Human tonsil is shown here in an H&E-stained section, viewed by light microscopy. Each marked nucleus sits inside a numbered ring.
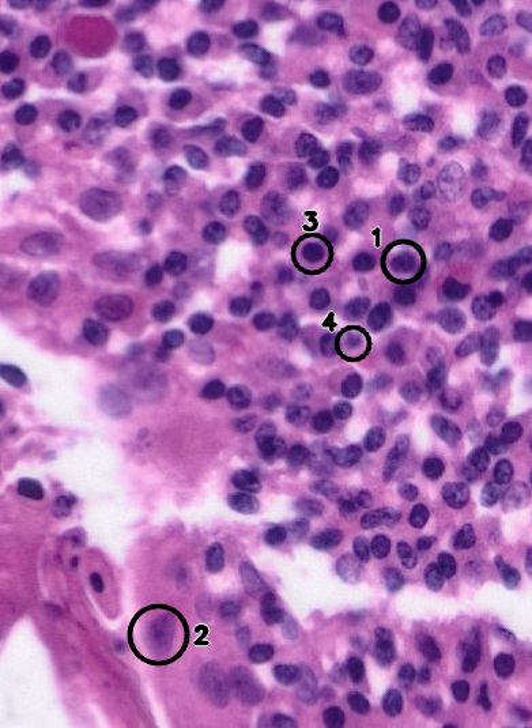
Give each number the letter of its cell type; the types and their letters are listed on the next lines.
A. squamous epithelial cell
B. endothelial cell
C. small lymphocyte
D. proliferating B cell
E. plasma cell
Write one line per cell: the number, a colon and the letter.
1: E
2: A
3: E
4: E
